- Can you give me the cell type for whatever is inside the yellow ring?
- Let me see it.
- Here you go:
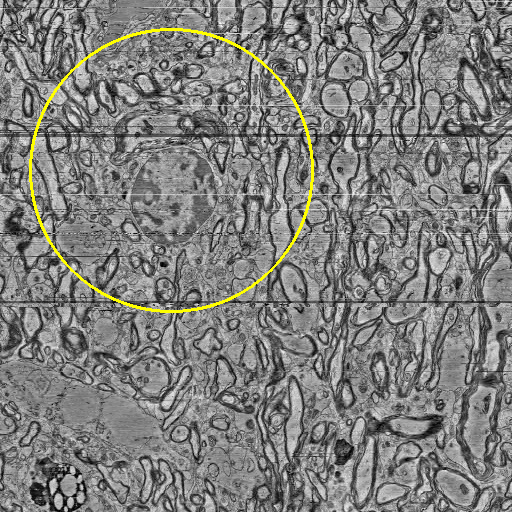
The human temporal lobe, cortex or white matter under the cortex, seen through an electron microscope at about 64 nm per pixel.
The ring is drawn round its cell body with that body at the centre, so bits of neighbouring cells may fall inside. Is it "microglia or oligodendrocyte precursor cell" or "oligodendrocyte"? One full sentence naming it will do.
The cell body in the middle of the ring in this picture belongs to a microglial cell or oligodendrocyte precursor cell.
